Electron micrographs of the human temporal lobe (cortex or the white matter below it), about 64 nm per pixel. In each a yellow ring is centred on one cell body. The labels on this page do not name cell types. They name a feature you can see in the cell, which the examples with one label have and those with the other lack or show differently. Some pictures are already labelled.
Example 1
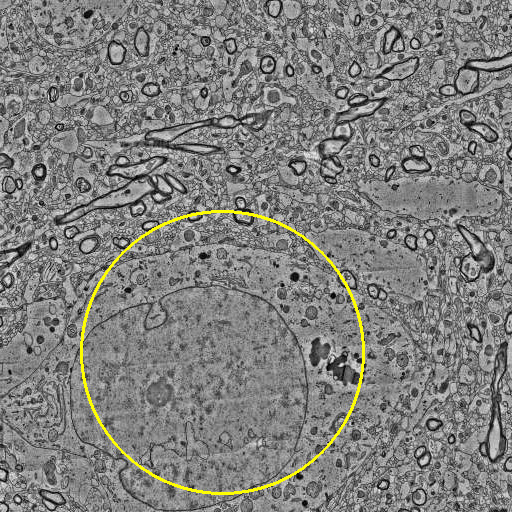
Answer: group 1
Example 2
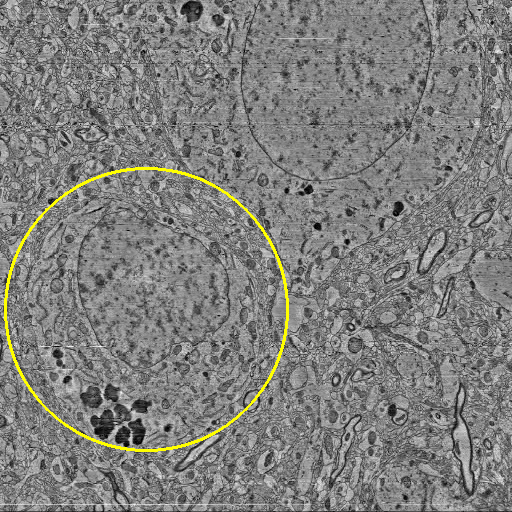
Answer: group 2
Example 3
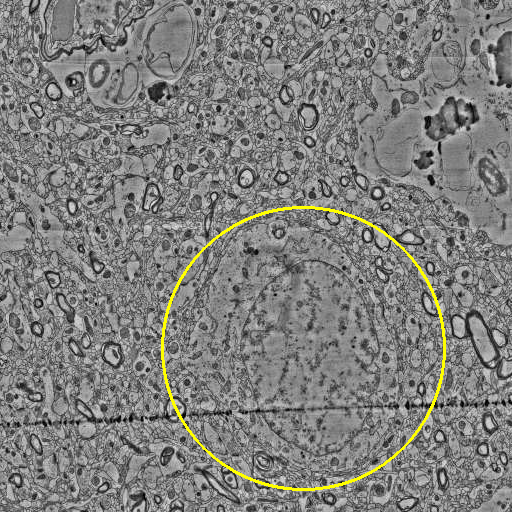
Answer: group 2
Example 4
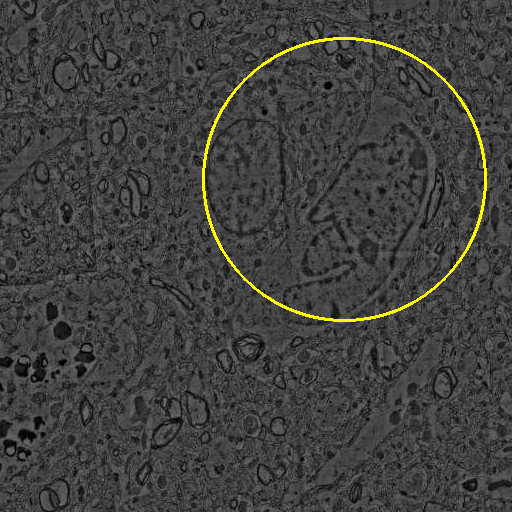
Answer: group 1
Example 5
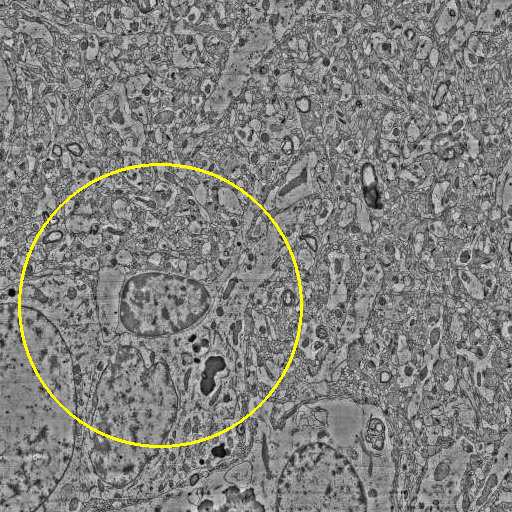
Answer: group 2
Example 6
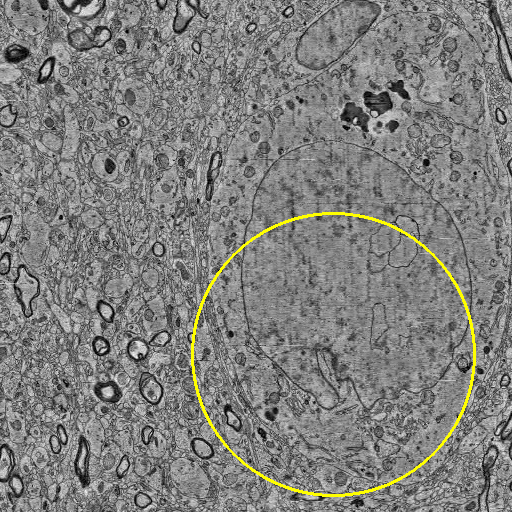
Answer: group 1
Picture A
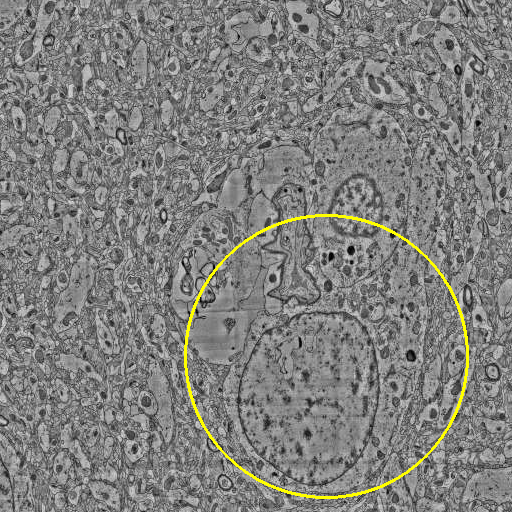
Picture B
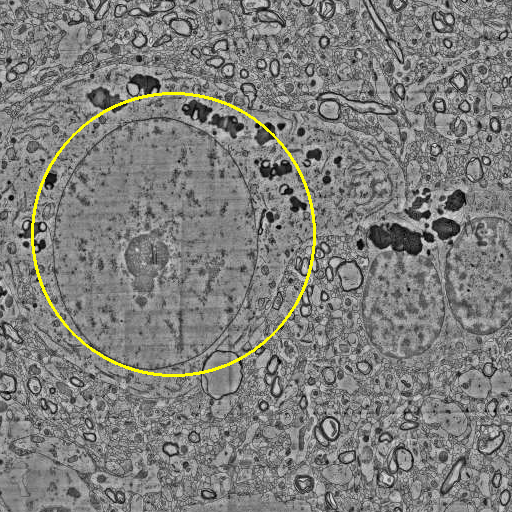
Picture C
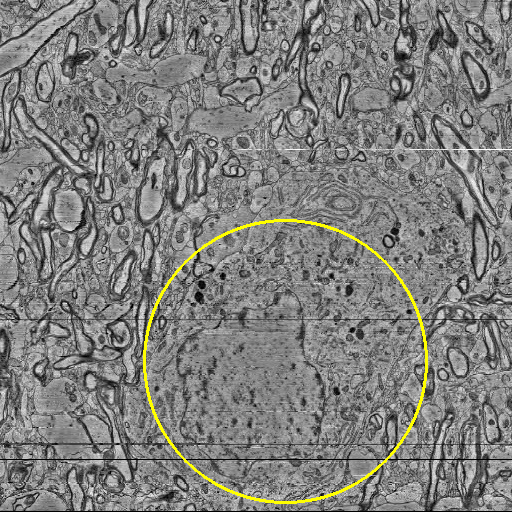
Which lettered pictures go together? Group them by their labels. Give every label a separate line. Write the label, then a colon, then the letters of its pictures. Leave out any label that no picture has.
group 1: A, C
group 2: B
